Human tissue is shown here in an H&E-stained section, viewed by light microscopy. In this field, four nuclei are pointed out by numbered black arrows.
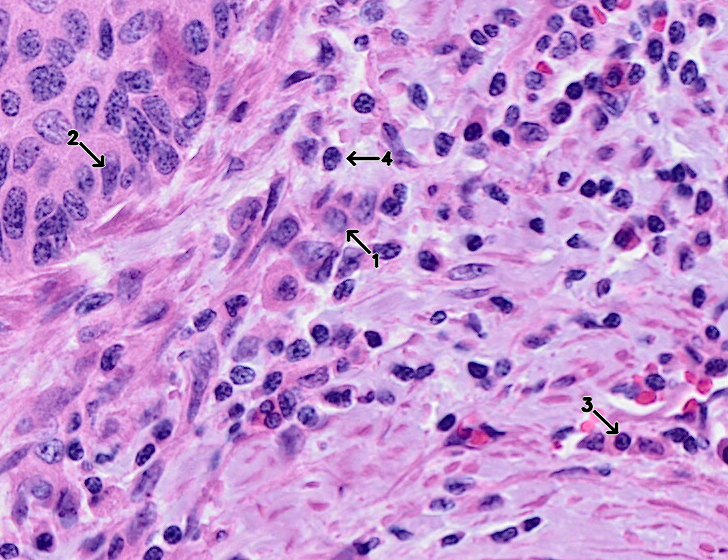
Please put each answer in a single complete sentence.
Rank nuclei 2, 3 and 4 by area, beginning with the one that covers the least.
By area, going up from the smallest, they rank 3, 4, 2.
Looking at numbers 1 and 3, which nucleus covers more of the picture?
Of the two, number 1 is bigger and takes up about 2 times the area of number 3.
